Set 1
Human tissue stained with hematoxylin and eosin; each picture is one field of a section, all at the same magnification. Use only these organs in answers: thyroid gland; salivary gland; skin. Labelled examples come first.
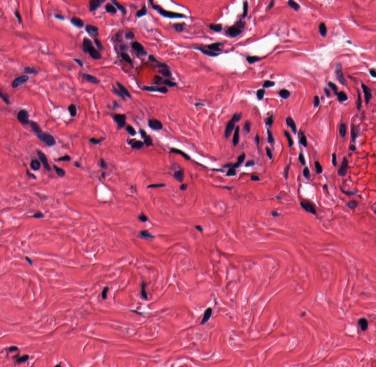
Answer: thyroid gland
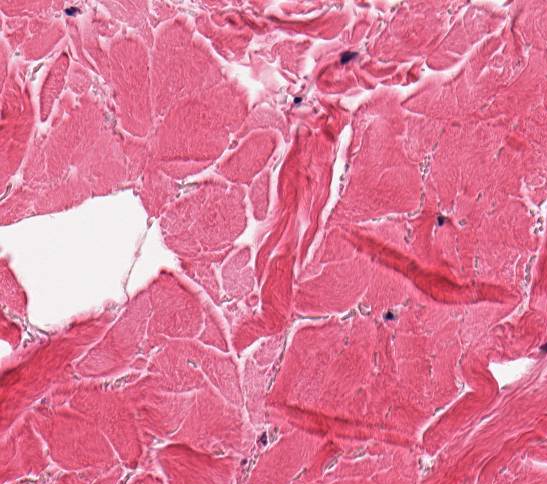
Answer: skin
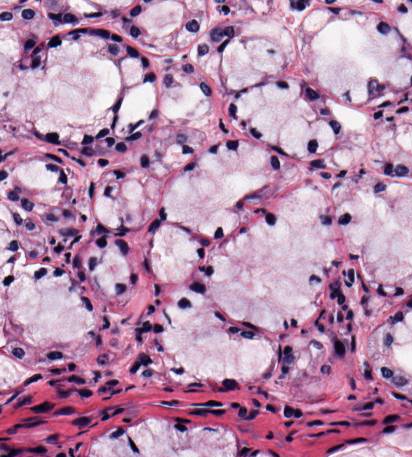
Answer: salivary gland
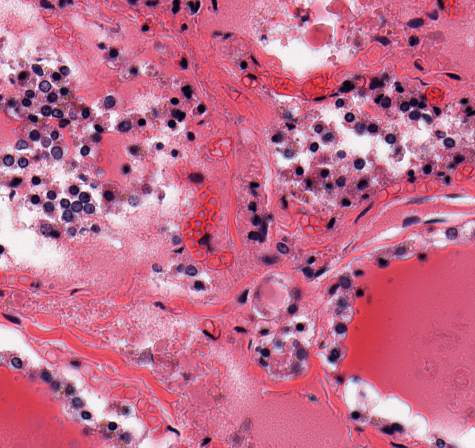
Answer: thyroid gland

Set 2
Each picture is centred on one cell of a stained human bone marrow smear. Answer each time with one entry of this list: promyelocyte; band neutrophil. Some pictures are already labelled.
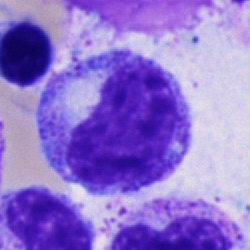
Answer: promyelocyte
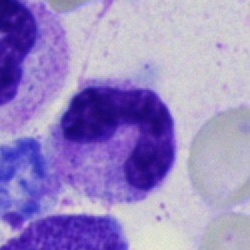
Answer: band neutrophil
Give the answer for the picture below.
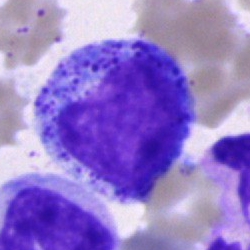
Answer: promyelocyte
